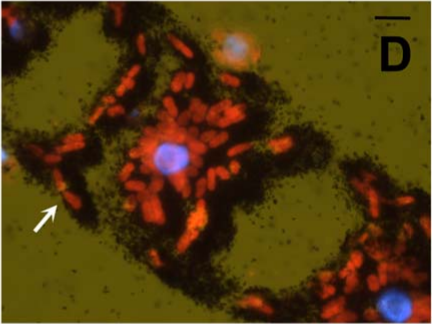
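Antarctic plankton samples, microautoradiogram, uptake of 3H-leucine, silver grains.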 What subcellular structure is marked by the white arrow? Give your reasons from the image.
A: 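The arrow points to small elongated red bodies inside the cells. Many such red bodies fill each cell. Black grains cluster over and around the red bodies. On this evidence: chloroplasts.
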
